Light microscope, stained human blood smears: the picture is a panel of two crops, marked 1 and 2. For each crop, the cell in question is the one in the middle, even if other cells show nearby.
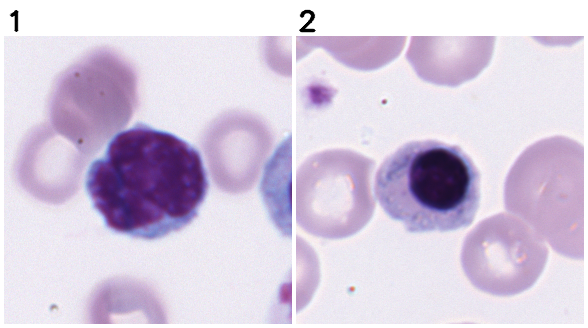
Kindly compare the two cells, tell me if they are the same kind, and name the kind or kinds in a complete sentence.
No, the cells are a typical lymphocyte in crop 1 and a normoblast in crop 2.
